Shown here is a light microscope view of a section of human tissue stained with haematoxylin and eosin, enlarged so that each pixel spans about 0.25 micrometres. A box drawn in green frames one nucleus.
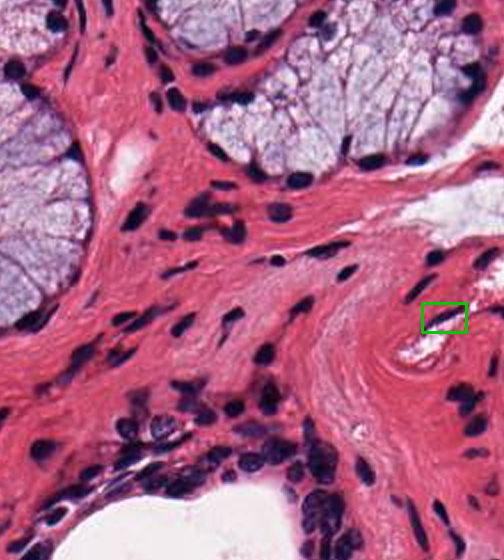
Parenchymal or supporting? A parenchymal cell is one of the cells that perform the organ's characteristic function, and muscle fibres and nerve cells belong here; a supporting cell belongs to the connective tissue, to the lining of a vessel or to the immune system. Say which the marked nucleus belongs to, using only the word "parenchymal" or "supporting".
supporting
